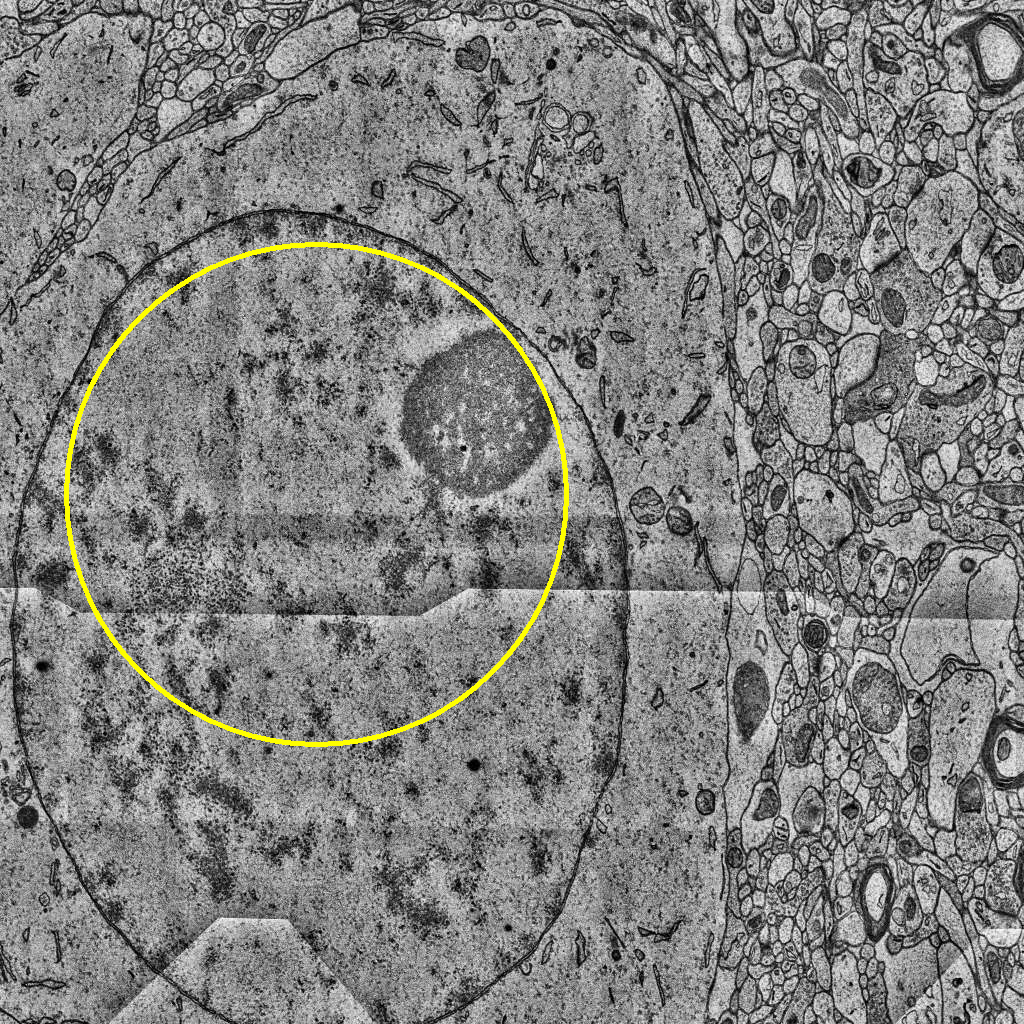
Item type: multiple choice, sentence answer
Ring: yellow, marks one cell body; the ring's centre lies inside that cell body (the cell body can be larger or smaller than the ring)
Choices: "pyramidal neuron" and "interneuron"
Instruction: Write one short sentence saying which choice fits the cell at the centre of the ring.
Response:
The centre of this ring lies on a pyramidal neuron.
